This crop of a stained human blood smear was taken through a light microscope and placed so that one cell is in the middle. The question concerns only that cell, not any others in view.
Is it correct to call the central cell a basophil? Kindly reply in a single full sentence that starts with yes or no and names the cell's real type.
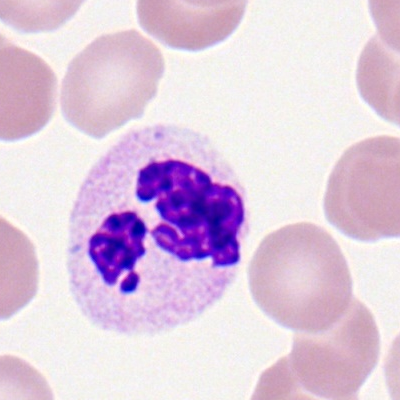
No, the middle of this crop is occupied by a neutrophil rather than a basophil.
